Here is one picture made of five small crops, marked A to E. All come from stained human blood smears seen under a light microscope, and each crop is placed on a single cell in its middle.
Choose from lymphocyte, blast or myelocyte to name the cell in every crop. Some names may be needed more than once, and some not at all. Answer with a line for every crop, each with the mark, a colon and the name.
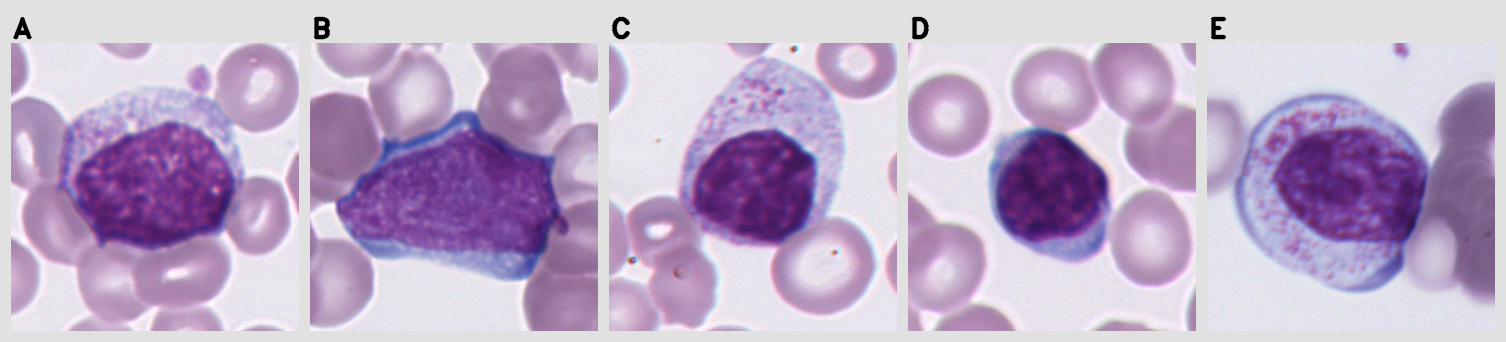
A: myelocyte
B: blast
C: myelocyte
D: lymphocyte
E: myelocyte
